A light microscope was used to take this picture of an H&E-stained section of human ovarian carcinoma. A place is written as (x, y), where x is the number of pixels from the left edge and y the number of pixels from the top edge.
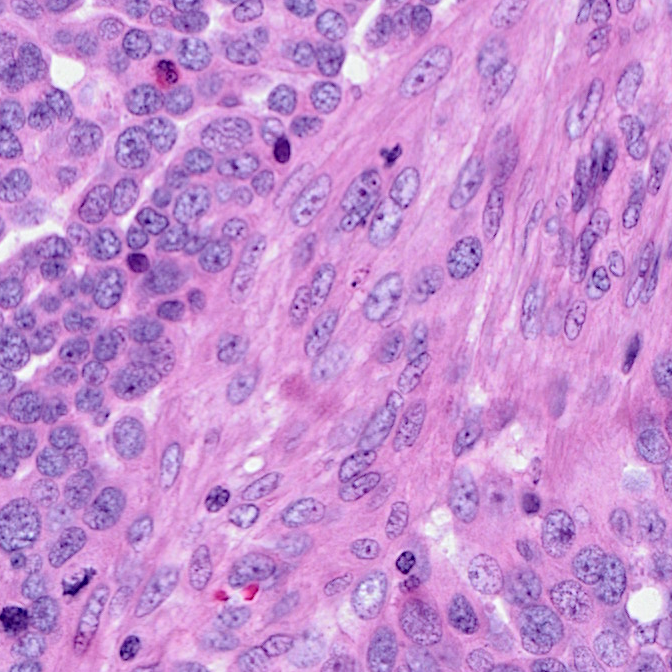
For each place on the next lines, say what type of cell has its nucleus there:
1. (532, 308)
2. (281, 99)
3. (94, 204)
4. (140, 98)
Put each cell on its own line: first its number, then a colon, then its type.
1: fibroblast
2: carcinoma cell
3: carcinoma cell
4: carcinoma cell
